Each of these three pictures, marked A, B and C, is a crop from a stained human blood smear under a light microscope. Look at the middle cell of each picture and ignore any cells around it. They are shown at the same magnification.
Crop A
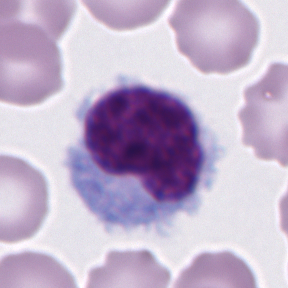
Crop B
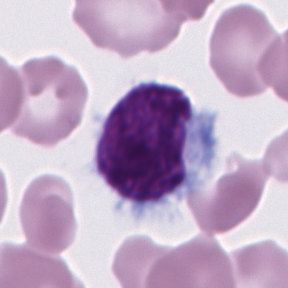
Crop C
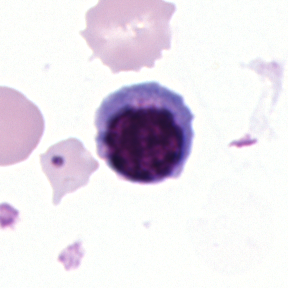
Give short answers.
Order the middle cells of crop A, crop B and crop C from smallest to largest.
C, B, A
